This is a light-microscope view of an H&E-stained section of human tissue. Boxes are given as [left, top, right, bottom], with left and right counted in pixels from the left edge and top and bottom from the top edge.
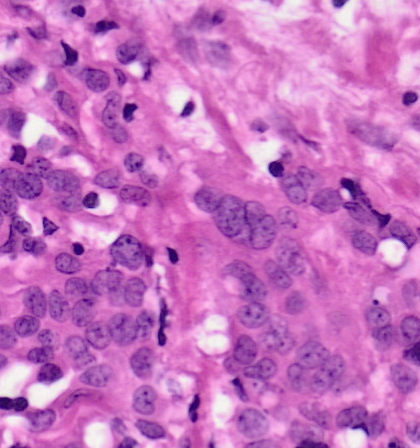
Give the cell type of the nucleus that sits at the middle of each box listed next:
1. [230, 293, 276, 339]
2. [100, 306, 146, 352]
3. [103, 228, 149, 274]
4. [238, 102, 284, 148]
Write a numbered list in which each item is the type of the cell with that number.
1. carcinoma cell
2. carcinoma cell
3. carcinoma cell
4. fibroblast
